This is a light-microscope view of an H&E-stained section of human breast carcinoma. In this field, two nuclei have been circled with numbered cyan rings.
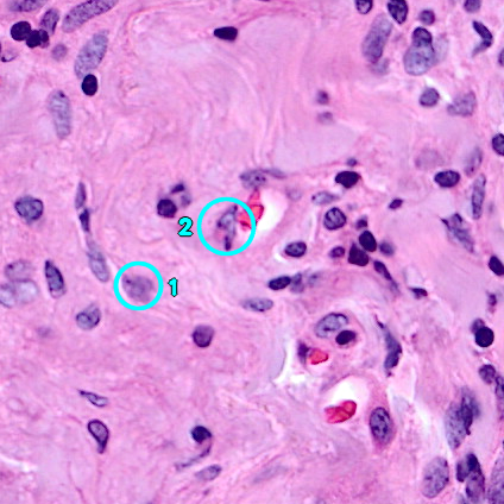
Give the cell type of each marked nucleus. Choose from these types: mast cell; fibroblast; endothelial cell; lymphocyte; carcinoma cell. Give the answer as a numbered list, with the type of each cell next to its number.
1. fibroblast
2. endothelial cell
